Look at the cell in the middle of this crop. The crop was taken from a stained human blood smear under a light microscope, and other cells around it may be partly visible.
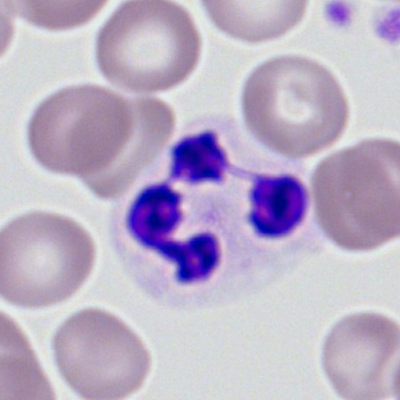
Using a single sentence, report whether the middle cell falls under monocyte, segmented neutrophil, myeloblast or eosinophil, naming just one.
This particular crop is centered on a segmented neutrophil.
